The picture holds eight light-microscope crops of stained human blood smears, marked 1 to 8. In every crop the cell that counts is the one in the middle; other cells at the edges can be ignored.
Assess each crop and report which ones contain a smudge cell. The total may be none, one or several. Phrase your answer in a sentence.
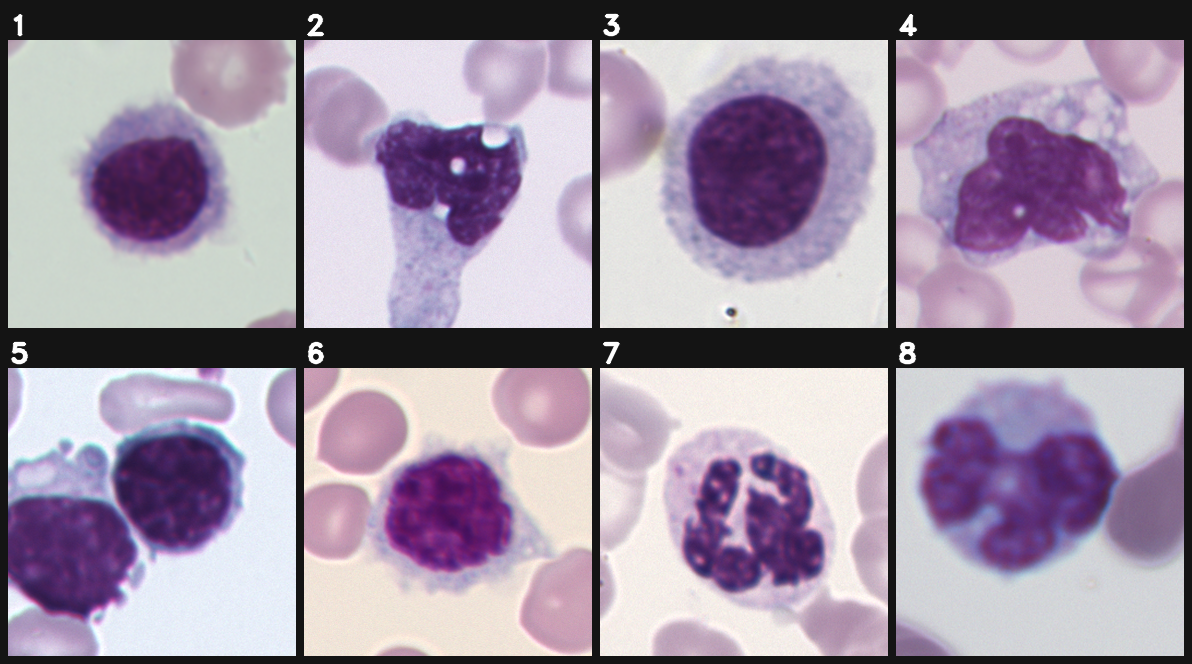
At the centre of each crop lies a cell that is not a smudge cell.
